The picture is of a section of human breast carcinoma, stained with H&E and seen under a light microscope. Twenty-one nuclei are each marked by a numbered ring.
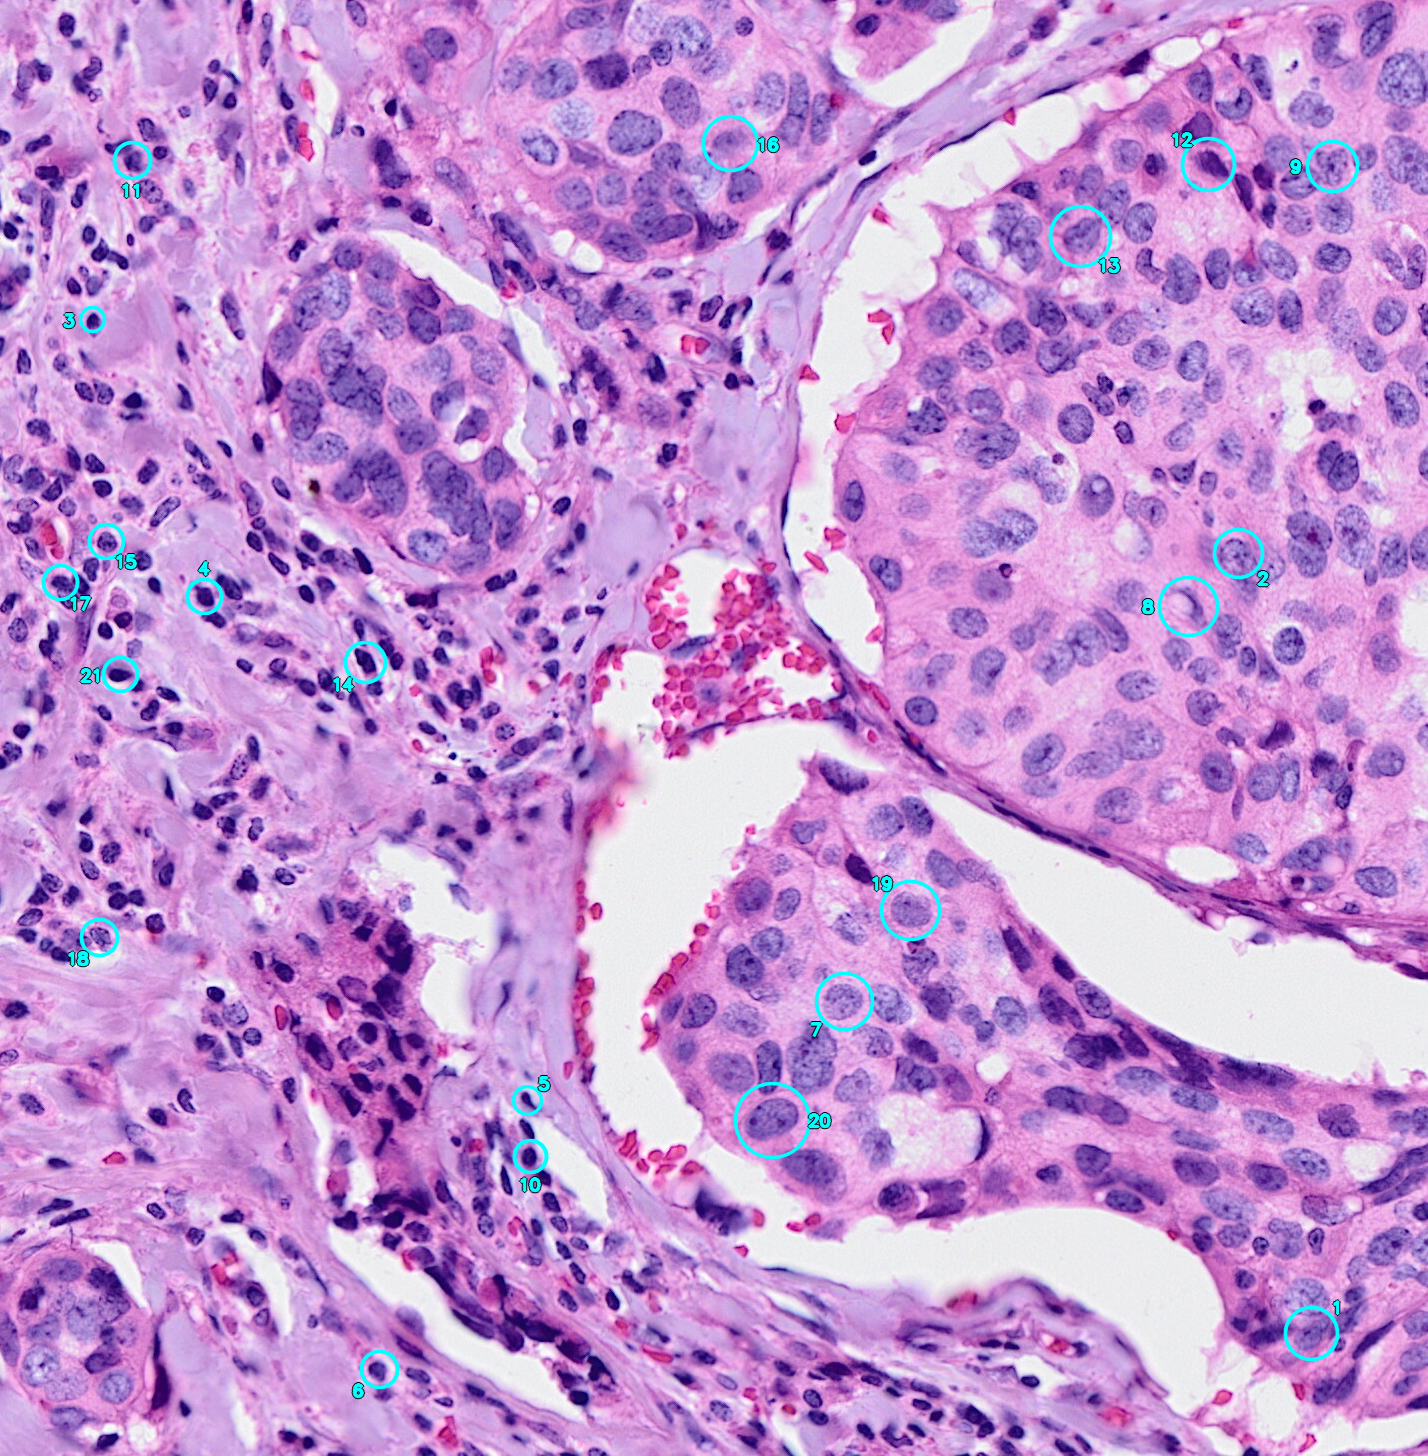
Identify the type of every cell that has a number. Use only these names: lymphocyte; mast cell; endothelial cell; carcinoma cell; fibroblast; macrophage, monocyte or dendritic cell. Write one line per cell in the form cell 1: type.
cell 1: carcinoma cell
cell 2: carcinoma cell
cell 3: lymphocyte
cell 4: lymphocyte
cell 5: lymphocyte
cell 6: lymphocyte
cell 7: carcinoma cell
cell 8: carcinoma cell
cell 9: carcinoma cell
cell 10: lymphocyte
cell 11: lymphocyte
cell 12: carcinoma cell
cell 13: carcinoma cell
cell 14: lymphocyte
cell 15: lymphocyte
cell 16: carcinoma cell
cell 17: lymphocyte
cell 18: lymphocyte
cell 19: carcinoma cell
cell 20: carcinoma cell
cell 21: lymphocyte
